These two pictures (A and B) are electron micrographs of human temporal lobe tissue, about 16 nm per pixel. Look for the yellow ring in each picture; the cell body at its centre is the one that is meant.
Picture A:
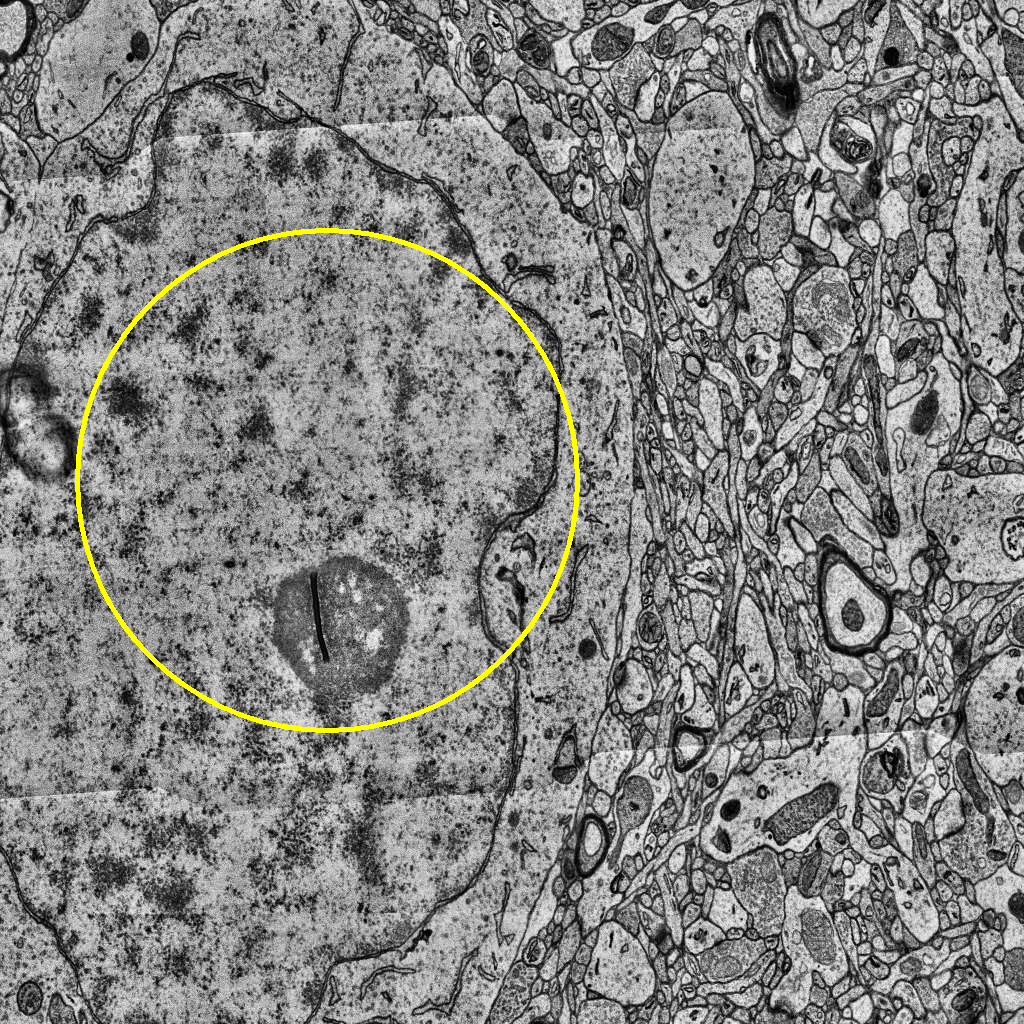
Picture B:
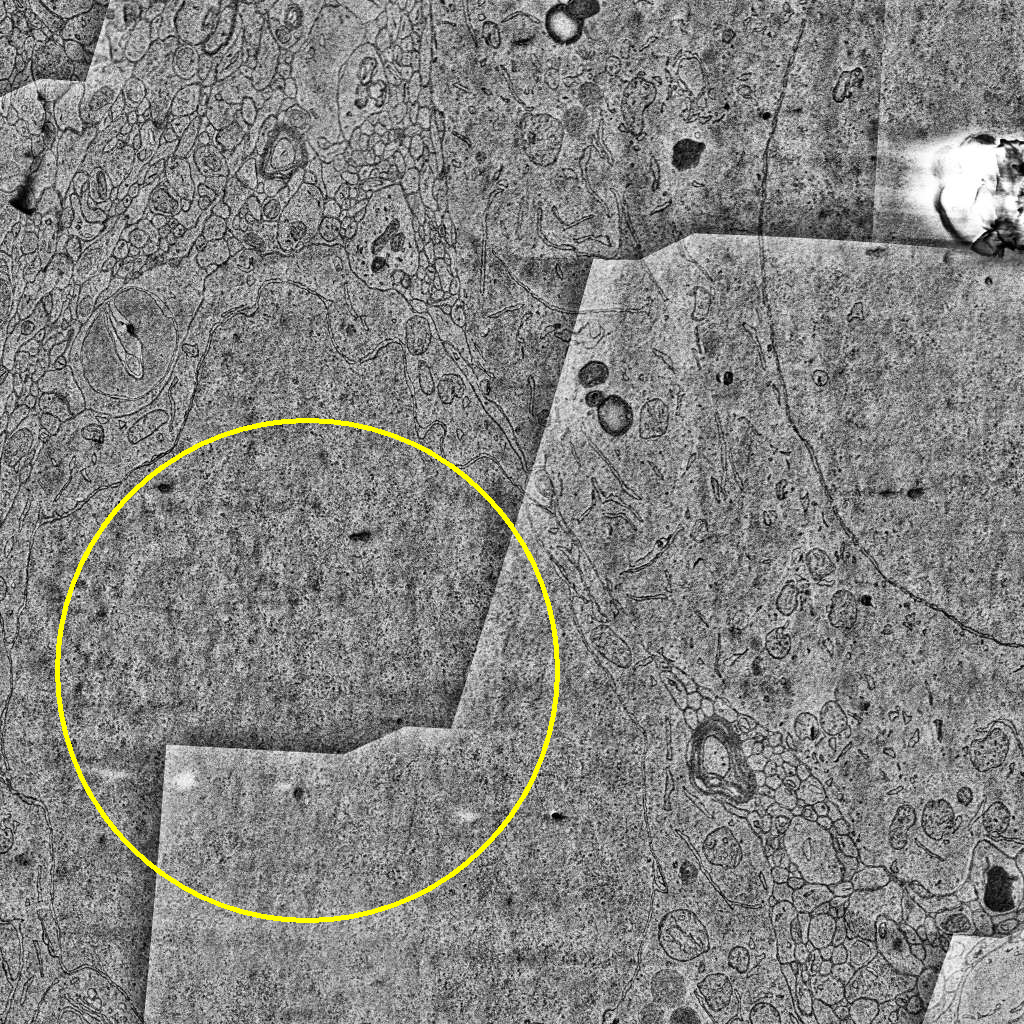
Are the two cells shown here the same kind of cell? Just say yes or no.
yes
